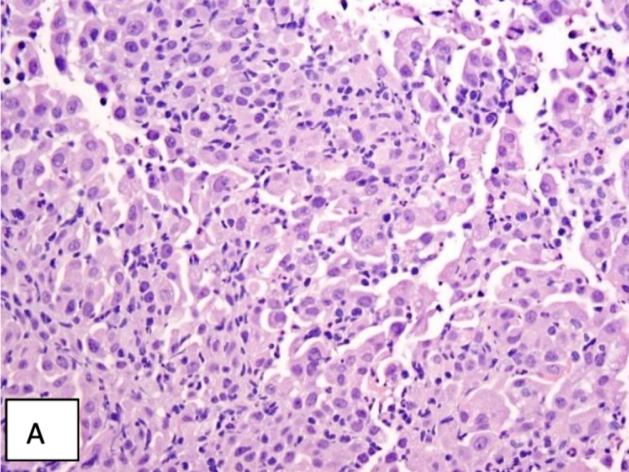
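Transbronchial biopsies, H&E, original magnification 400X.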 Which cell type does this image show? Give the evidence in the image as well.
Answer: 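Sheets of large polygonal cells fill the field. The cells have abundant pink cytoplasm. Nuclei are enlarged and vary in size, some with visible nucleoli. The answer: atypical cells.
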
